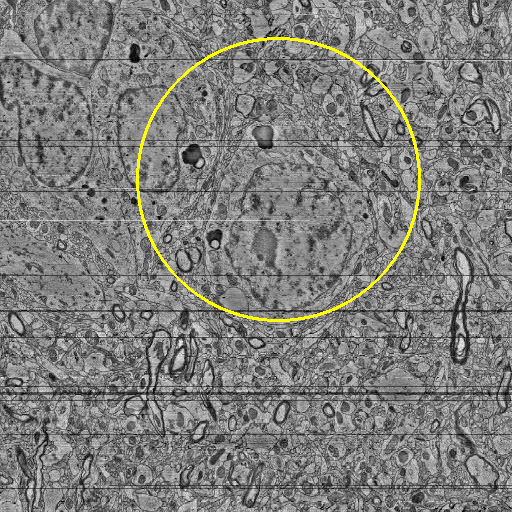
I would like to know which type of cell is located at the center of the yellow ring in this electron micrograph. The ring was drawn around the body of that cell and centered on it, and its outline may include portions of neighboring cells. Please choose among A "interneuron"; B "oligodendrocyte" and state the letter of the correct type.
A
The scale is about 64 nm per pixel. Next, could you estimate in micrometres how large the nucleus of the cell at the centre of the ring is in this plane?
Roughly 10 by 9 micrometres is the size of the nucleus in this plane.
